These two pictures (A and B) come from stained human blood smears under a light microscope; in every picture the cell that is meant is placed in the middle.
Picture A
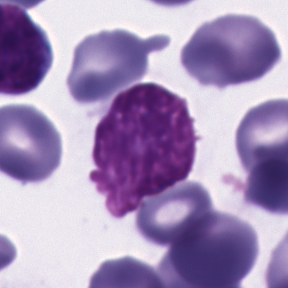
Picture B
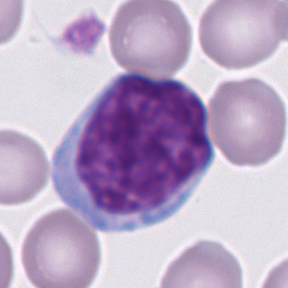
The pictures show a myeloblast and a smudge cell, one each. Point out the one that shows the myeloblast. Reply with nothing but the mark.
B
